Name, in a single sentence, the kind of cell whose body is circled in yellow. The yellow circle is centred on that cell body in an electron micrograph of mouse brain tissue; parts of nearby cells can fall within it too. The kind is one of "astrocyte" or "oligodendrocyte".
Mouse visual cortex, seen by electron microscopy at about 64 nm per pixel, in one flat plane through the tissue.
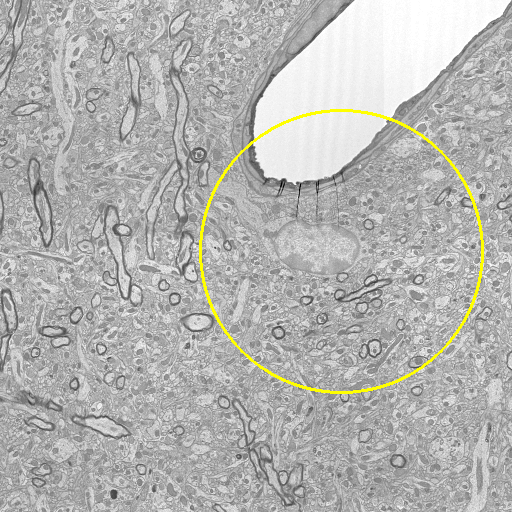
The circled cell body belongs to an oligodendrocyte.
